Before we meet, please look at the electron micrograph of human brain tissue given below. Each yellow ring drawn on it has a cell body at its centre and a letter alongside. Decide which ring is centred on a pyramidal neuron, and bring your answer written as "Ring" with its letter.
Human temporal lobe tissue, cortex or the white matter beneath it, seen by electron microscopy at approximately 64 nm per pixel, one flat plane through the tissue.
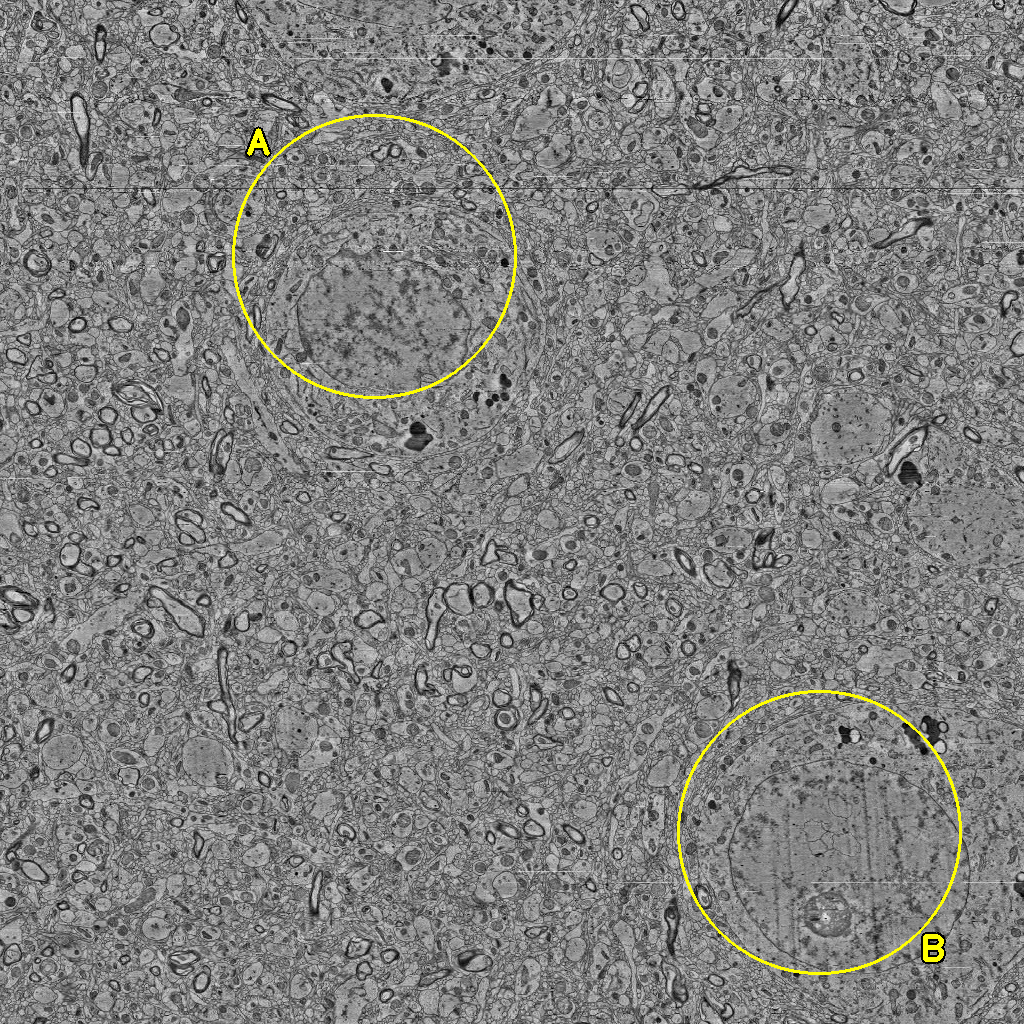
Ring B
